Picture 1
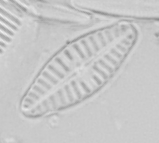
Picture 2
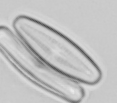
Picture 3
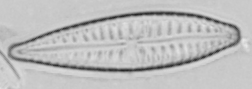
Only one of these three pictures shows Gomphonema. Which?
Picture 3.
